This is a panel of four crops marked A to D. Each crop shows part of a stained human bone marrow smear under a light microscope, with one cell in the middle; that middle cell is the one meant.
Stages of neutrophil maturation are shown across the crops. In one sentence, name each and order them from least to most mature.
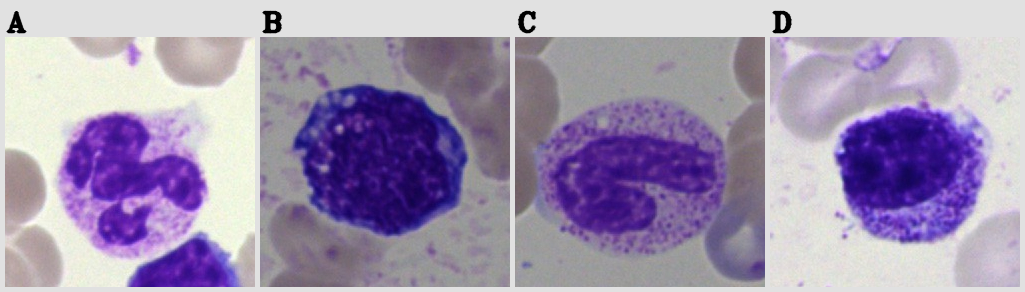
In ascending order of maturity, the sequence is crop B (a promyelocyte), crop D (a myelocyte), crop C (a band neutrophil) and crop A (a segmented neutrophil).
